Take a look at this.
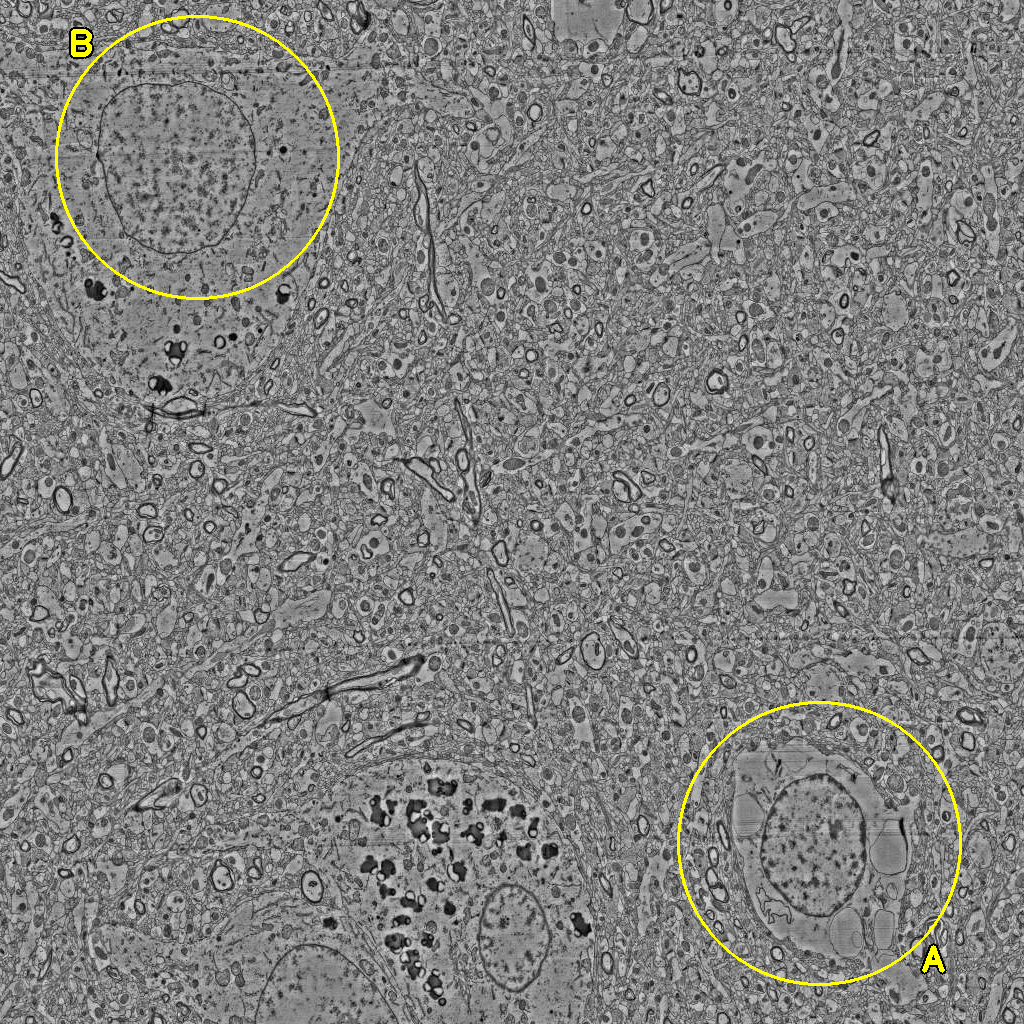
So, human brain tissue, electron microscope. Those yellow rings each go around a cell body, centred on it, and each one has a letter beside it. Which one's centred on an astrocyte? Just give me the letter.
A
